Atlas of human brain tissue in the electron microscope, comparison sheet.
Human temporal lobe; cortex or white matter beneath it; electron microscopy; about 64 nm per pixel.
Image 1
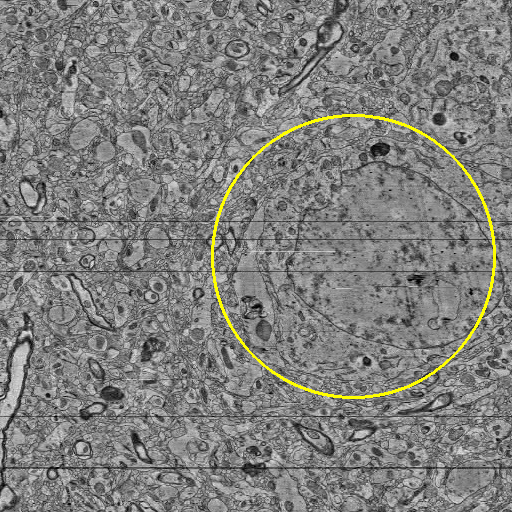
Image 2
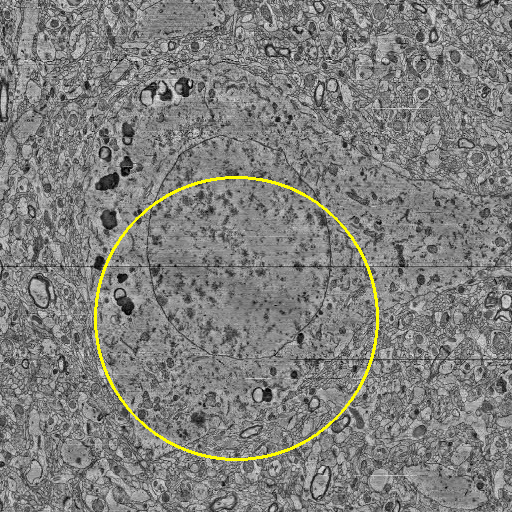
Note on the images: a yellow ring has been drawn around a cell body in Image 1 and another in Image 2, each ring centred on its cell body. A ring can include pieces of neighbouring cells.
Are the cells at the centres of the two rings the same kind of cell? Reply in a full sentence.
Yes, both cells are of the same kind.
